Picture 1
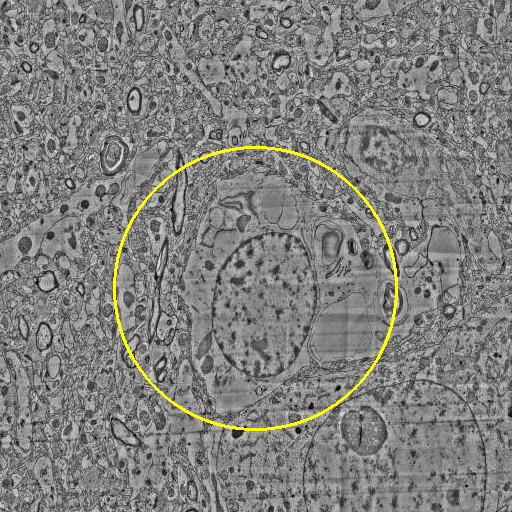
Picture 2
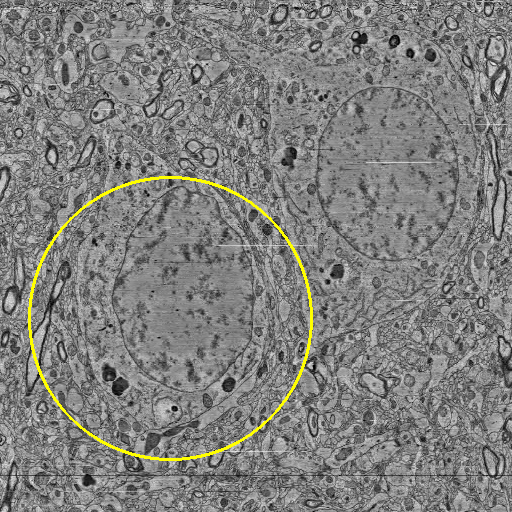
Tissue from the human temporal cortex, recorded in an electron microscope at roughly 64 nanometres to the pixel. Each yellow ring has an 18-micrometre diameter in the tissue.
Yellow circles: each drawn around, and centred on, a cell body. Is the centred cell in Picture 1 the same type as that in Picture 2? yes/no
no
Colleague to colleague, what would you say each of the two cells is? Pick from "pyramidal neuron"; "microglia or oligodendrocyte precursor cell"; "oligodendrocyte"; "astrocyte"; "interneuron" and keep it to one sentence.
The cell in the first picture is an astrocyte; the second picture's cell is a pyramidal neuron.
